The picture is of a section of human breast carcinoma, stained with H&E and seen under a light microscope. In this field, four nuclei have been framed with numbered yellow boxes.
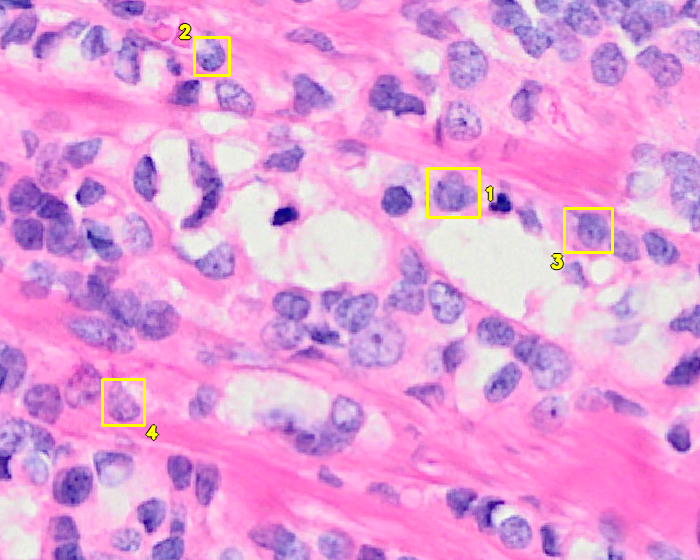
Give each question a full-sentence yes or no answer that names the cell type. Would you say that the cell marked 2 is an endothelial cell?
Yes, it checks out; the cell labelled 2 is an endothelial cell.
